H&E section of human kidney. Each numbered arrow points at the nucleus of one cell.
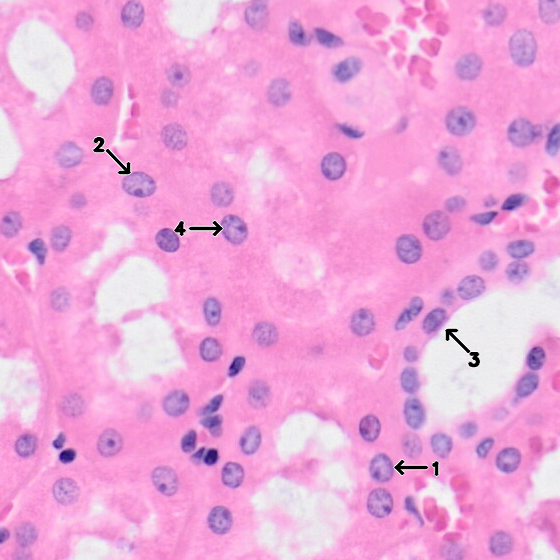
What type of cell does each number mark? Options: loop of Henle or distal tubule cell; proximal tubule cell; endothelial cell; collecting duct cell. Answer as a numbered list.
1. proximal tubule cell
2. proximal tubule cell
3. collecting duct cell
4. proximal tubule cell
